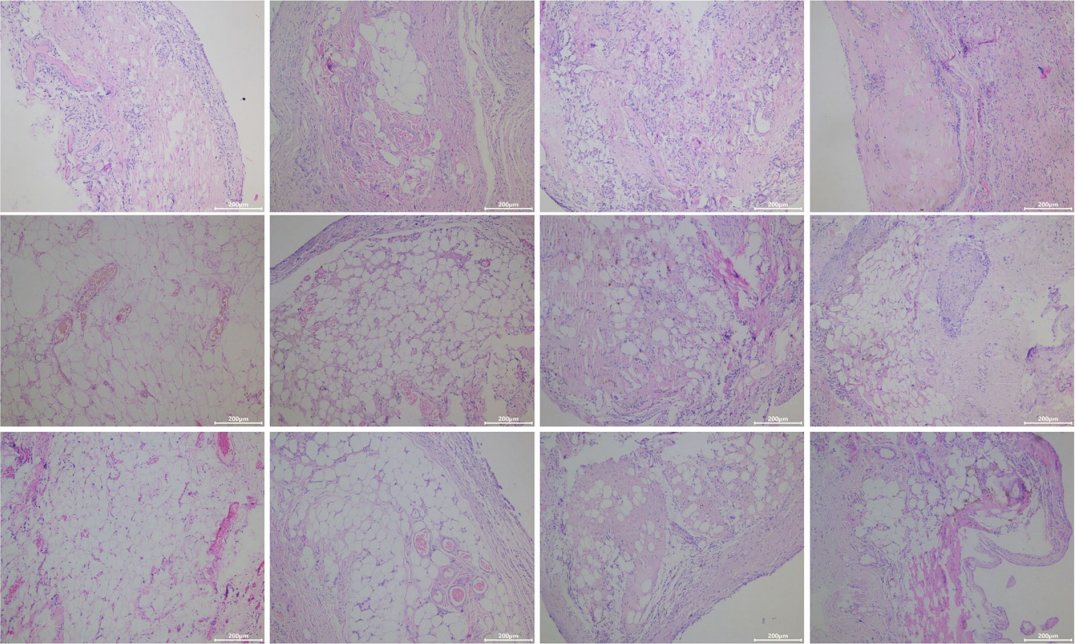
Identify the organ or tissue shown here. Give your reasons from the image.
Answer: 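Many sections contain clusters of large round to polygonal cells that look empty. These empty-looking cells have thin pink borders and form a honeycomb-like network. Denser pink and purple fibrous tissue surrounds or lies next to the clusters. On this evidence: adipose tissue.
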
